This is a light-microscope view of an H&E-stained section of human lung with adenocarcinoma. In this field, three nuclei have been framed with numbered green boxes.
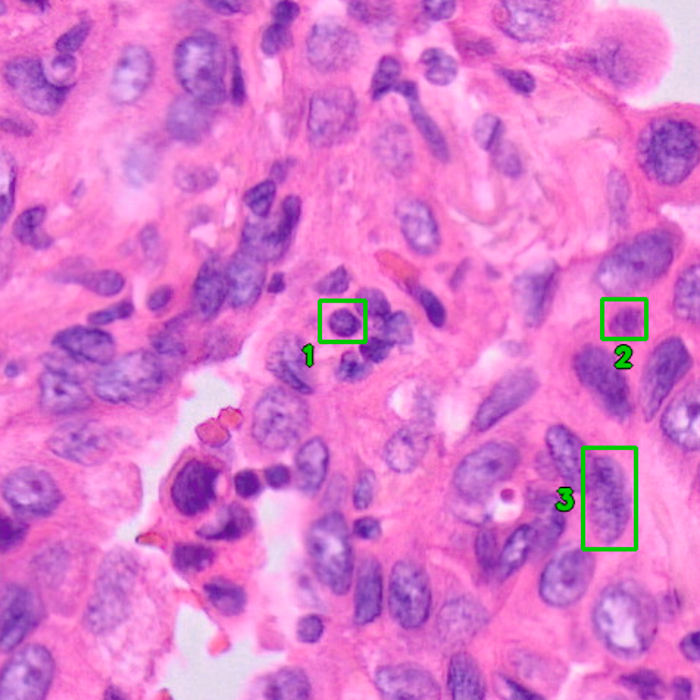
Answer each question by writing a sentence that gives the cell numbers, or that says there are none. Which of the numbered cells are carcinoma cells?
The cells with the number labels 2 and 3 are carcinoma cells.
